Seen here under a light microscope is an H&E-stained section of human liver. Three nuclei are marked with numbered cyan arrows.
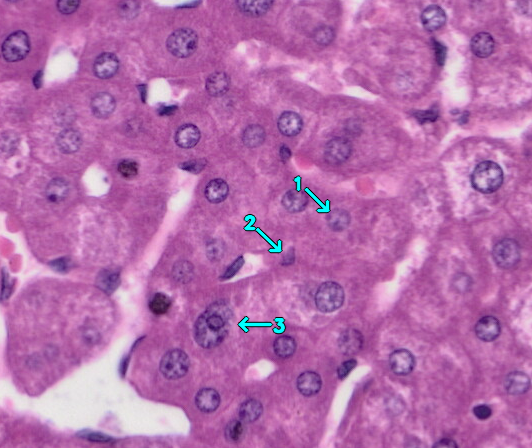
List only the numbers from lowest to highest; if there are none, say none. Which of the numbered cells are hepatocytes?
1, 3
